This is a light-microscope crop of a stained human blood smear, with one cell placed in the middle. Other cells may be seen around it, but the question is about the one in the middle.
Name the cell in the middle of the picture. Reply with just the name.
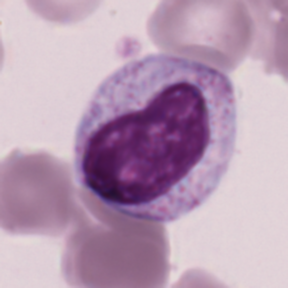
myelocyte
